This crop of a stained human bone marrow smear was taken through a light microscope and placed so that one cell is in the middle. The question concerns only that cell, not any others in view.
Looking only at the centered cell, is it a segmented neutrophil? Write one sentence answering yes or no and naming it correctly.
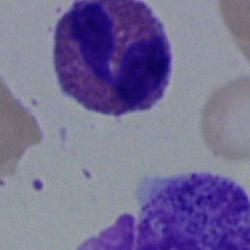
No, calling it a segmented neutrophil is wrong; the middle cell is an eosinophil.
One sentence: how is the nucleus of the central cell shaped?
The nucleus is segmented, with two or more lobes present.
